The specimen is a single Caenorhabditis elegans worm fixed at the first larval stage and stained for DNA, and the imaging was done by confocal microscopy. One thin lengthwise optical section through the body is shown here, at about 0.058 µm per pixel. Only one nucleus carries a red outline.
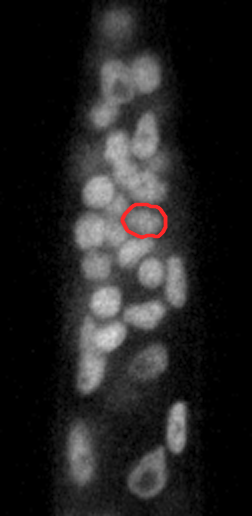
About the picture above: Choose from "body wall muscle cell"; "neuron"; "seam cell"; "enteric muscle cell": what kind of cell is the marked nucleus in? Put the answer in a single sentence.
The marked nucleus is that of a neuron.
